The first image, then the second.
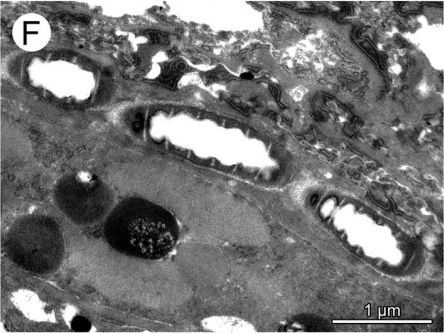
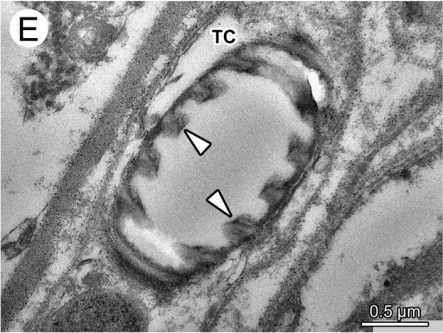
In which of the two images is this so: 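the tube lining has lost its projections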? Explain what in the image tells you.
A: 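The first image. Second image: the small tube's wall bears distinct dark projections into the lumen.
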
